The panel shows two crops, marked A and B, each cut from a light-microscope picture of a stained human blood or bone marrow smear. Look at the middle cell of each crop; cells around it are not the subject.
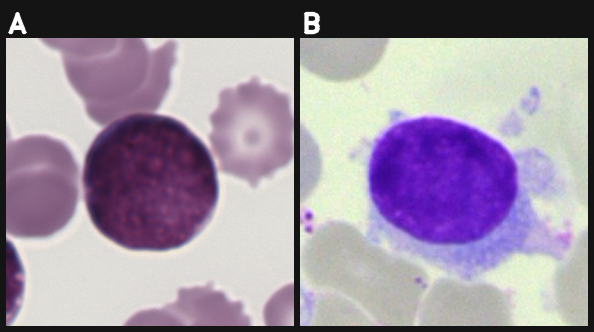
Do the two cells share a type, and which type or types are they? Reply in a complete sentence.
No, the cell centred in crop A is a blast, and that centred in crop B is a hairy cell.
